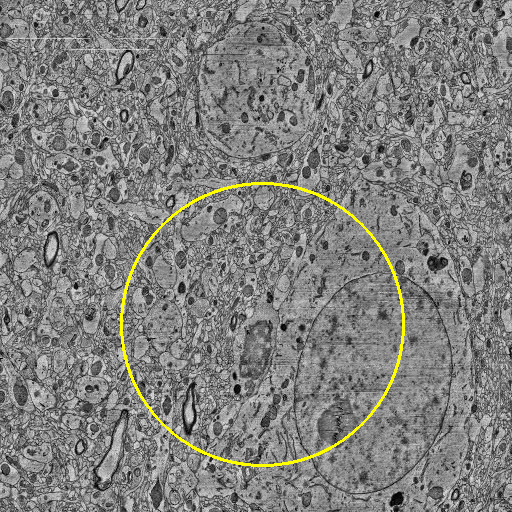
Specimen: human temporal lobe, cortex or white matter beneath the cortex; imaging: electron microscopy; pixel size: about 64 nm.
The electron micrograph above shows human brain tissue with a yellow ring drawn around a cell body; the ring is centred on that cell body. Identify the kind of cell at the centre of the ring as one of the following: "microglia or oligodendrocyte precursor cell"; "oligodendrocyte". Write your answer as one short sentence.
The cell at the centre of the ring is an oligodendrocyte.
